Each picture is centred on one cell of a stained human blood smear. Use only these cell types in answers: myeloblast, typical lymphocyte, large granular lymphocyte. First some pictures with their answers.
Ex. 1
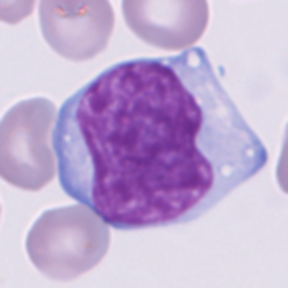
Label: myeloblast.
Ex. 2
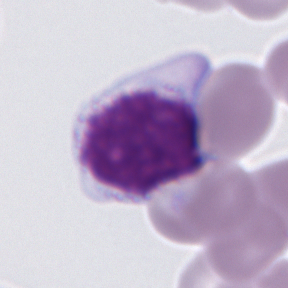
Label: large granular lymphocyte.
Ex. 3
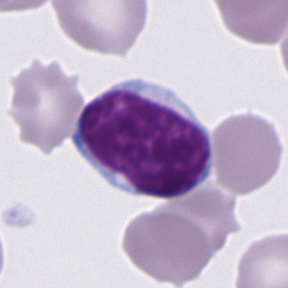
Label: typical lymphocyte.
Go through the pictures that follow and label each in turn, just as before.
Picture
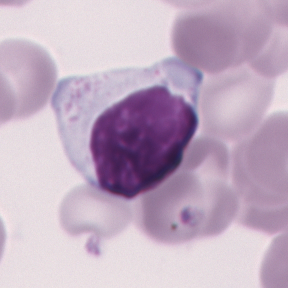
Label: large granular lymphocyte.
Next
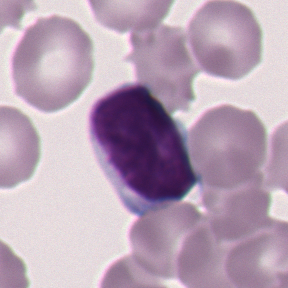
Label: typical lymphocyte.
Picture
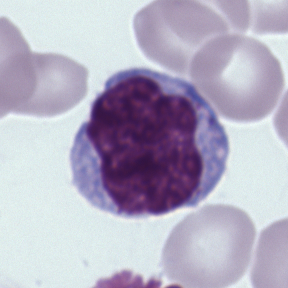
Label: typical lymphocyte.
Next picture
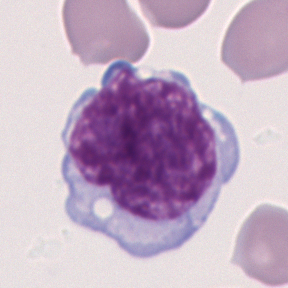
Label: myeloblast.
